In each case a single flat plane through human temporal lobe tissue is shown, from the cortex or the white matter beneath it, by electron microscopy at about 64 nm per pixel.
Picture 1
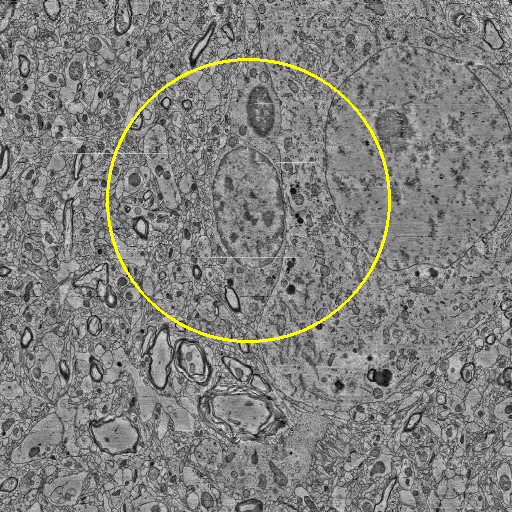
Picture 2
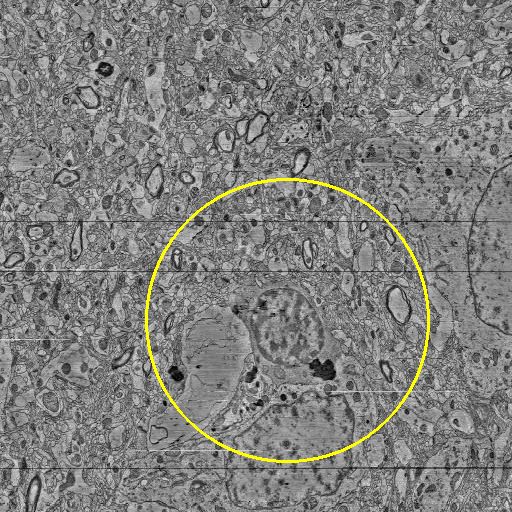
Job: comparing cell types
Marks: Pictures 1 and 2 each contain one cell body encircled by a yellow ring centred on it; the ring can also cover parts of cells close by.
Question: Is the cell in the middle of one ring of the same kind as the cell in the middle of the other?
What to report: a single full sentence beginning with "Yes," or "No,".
Yes, the cell at the ring centre in Picture 1 and its partner in Picture 2 are of one kind.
